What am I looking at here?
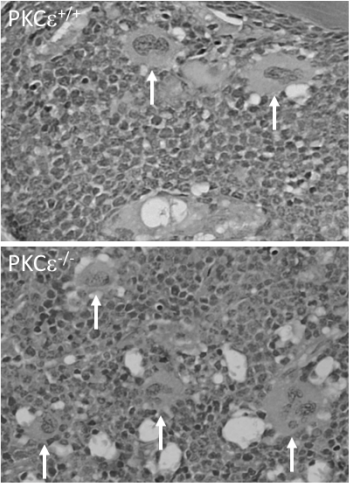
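Two sections of bone marrow, shown in grey tones, are densely packed with small round cells that have dark nuclei and little cytoplasm. Scattered among these small cells are a few giant cells, the megakaryocytes. Each has a large, irregular, lobed nucleus and a broad rim of pale cytoplasm. Clear rounded spaces and thin-walled vessels lie between the cells.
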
